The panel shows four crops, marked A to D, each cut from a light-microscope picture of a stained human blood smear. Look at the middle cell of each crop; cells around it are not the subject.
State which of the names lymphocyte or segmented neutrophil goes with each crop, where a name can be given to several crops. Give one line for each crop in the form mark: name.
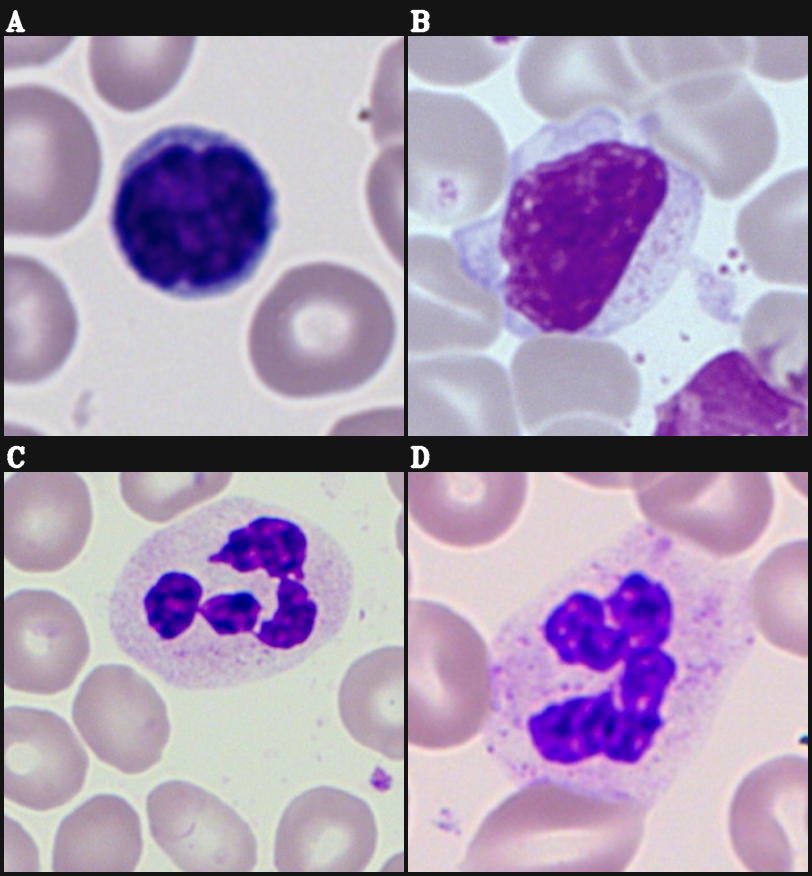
A: lymphocyte
B: lymphocyte
C: segmented neutrophil
D: segmented neutrophil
